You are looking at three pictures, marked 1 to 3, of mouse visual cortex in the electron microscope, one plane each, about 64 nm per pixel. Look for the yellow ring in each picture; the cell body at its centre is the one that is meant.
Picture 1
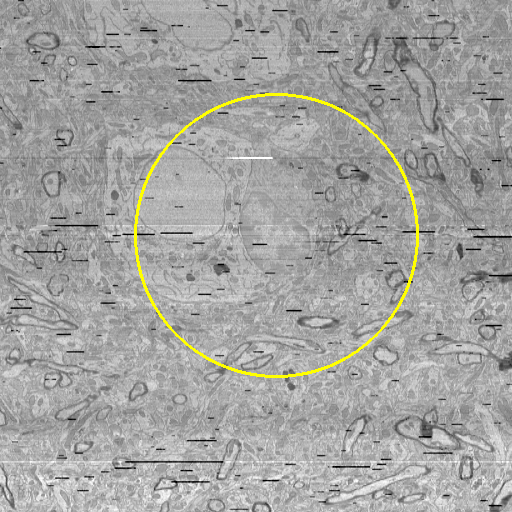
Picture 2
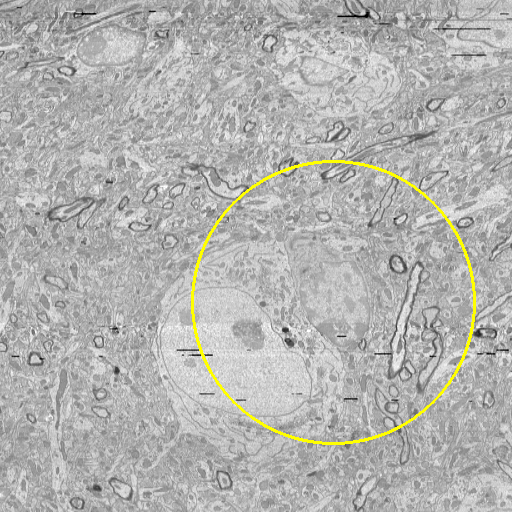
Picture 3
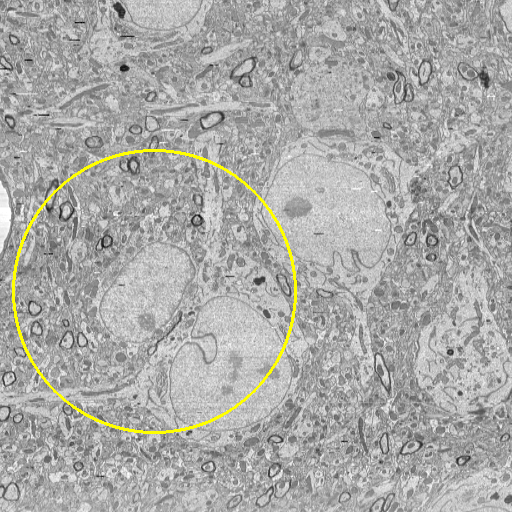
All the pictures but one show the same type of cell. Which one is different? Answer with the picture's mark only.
3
